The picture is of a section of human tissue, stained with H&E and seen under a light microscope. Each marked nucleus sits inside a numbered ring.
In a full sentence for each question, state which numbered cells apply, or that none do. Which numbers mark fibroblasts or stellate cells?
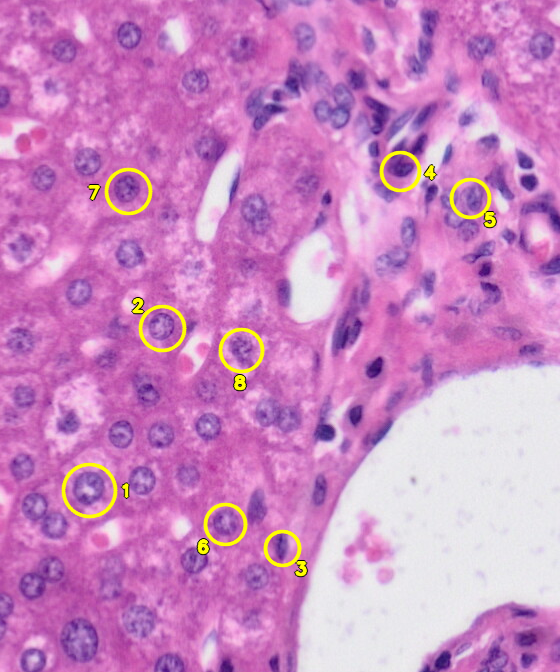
The cells numbered 3 and 4 fall into the category of fibroblasts or stellate cells.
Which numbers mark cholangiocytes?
Cell 5 is a cholangiocyte, while all remaining marked cells are of other types.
